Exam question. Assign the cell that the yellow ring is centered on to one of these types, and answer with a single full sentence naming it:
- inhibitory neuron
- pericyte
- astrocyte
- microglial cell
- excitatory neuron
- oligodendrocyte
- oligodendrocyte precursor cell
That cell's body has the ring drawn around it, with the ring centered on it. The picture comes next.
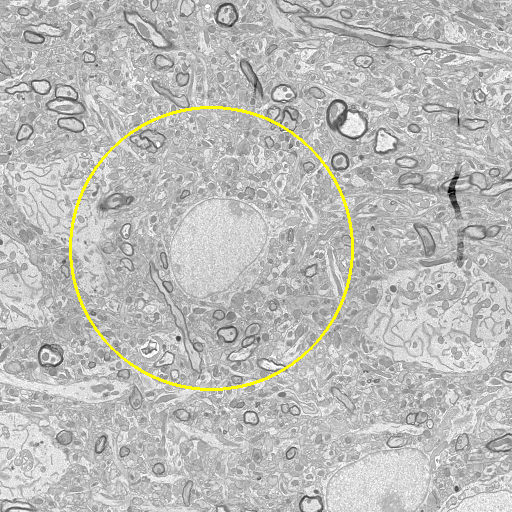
In the micrograph, the cell the yellow ring is centered on is an astrocyte.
